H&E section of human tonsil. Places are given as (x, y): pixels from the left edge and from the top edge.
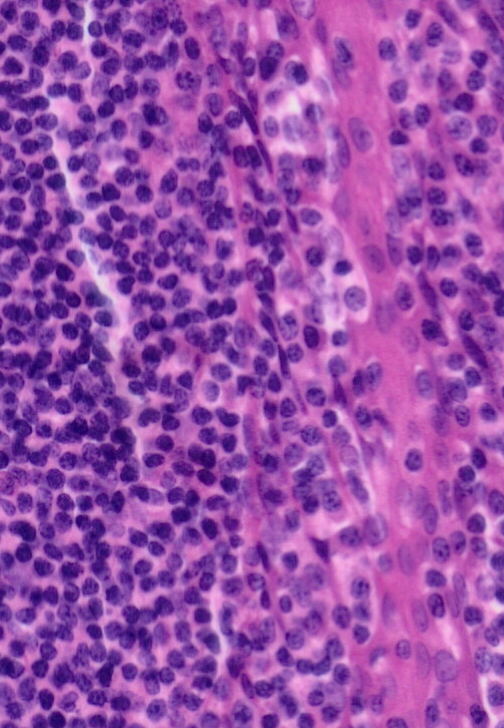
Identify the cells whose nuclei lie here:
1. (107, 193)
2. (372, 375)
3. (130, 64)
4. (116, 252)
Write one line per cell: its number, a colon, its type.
1: small lymphocyte
2: squamous epithelial cell
3: small lymphocyte
4: small lymphocyte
